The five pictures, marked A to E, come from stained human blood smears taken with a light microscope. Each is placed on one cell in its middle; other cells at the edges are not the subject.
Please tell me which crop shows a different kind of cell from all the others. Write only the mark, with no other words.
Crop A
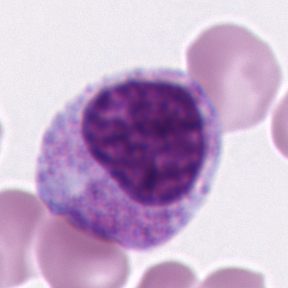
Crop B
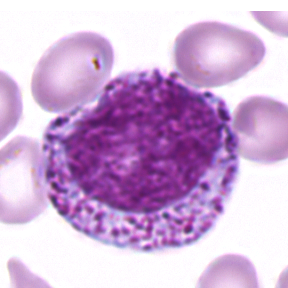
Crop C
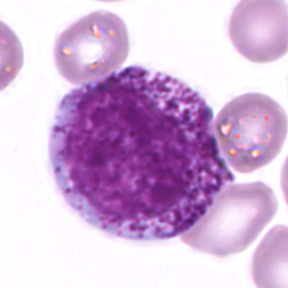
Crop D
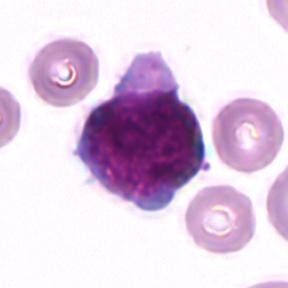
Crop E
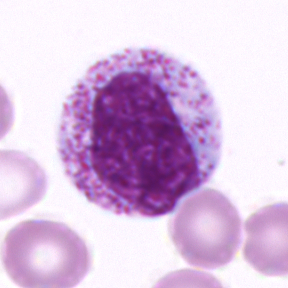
D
